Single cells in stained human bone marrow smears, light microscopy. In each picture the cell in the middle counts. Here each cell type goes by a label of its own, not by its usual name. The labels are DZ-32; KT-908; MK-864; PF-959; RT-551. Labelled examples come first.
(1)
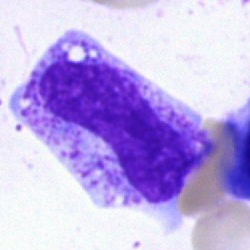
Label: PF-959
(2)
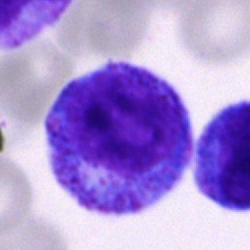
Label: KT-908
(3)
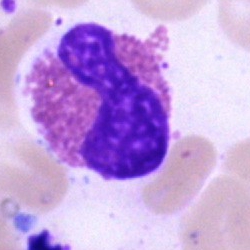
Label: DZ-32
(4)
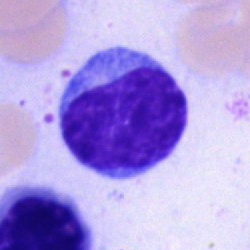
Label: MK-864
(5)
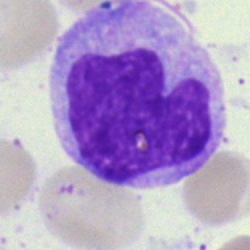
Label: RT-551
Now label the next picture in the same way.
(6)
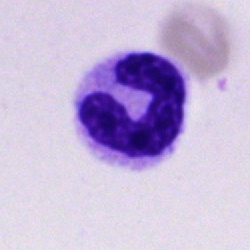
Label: PF-959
